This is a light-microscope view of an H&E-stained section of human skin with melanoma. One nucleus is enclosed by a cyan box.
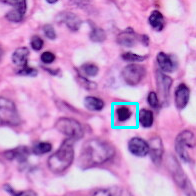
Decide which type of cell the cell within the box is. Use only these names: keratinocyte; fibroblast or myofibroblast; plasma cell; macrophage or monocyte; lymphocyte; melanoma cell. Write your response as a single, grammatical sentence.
Speaking plainly, the cell within the box is nothing other than a lymphocyte.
